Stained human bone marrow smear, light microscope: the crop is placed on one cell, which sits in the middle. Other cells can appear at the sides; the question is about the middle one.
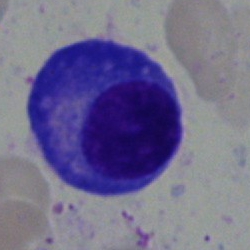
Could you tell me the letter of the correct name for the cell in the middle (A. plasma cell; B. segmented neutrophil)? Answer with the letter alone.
A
